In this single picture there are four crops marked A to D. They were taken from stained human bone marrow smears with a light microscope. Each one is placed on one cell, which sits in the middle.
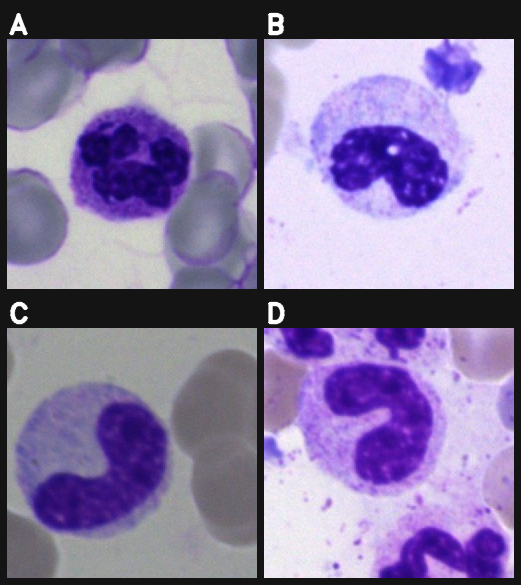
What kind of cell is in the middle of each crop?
A: segmented neutrophil
B: band neutrophil
C: band neutrophil
D: band neutrophil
